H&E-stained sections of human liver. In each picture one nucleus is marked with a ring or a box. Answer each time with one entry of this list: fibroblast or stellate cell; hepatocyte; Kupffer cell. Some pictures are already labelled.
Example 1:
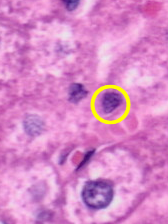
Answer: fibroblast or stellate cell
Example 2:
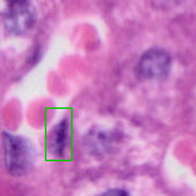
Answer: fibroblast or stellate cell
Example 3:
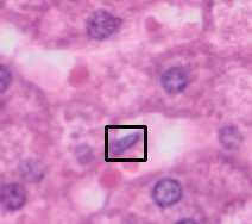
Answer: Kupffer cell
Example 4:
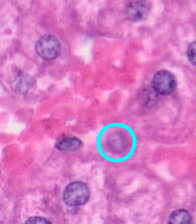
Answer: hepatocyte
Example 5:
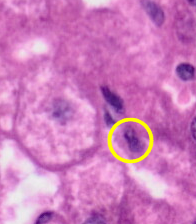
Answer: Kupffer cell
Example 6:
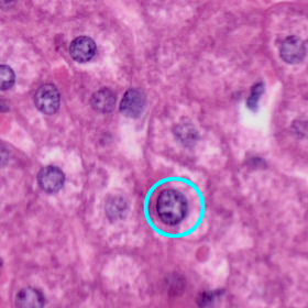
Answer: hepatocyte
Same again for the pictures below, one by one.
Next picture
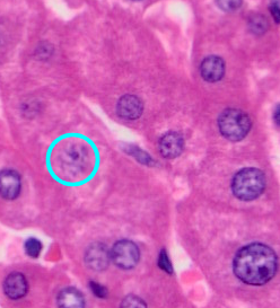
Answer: hepatocyte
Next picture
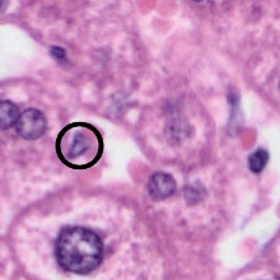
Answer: Kupffer cell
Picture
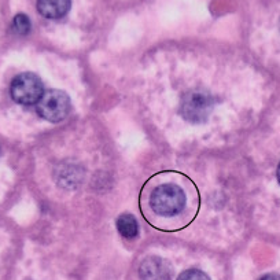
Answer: hepatocyte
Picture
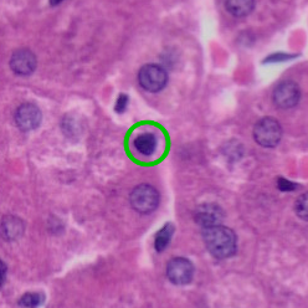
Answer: fibroblast or stellate cell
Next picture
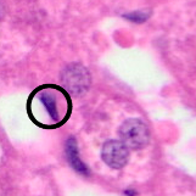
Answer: fibroblast or stellate cell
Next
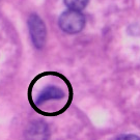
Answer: fibroblast or stellate cell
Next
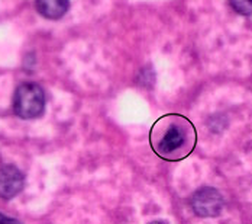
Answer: fibroblast or stellate cell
